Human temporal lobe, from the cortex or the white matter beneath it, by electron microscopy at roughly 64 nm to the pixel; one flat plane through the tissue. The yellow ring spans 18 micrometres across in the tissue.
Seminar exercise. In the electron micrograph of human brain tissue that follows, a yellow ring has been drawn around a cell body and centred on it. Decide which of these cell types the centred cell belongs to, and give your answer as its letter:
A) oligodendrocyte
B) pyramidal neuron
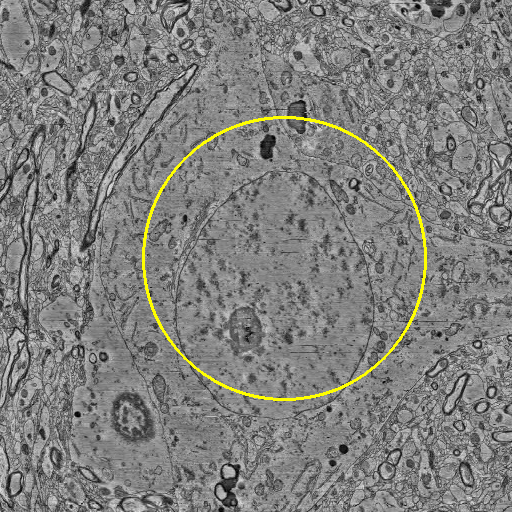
B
